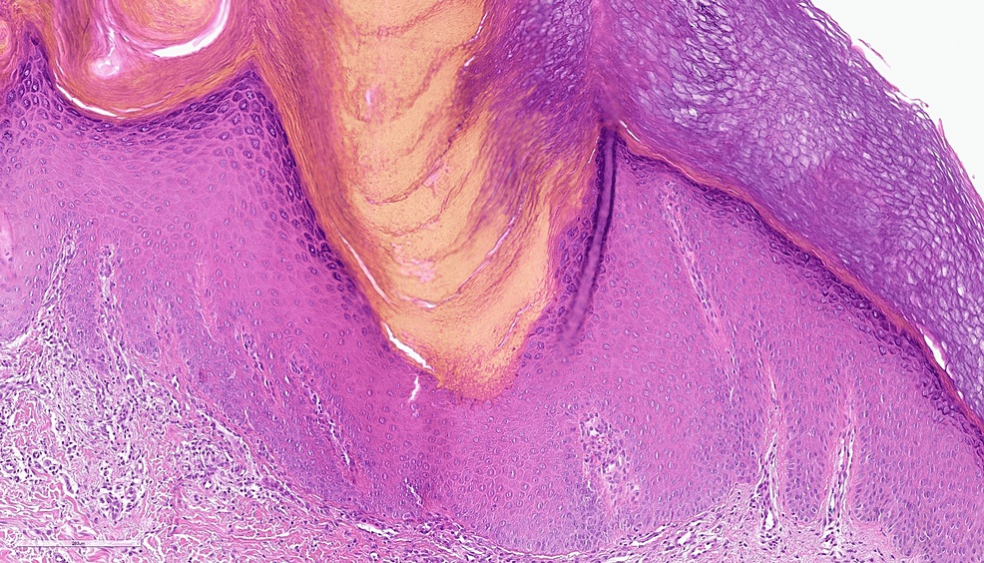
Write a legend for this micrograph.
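Skin with a thickened squamous epidermis, the keratinocytes pink with small round nuclei, the rete ridges broad and reaching down into a paler pink dermis. To either side the surface carries a thick lamellar cornified layer, purplish on the right. The upper dermis holds small vessels and scattered dark-nucleated inflammatory cells.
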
